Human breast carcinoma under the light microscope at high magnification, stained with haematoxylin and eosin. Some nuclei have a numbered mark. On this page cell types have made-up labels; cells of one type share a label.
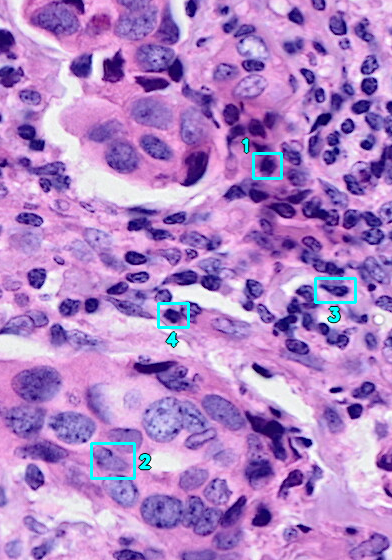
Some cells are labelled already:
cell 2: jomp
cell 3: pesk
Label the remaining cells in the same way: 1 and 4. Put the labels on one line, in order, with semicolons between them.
pesk; pesk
